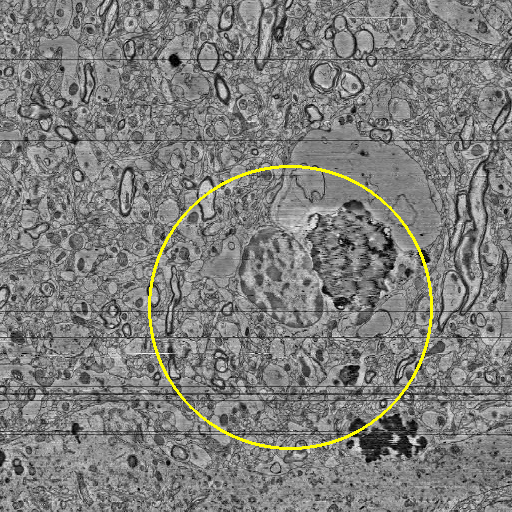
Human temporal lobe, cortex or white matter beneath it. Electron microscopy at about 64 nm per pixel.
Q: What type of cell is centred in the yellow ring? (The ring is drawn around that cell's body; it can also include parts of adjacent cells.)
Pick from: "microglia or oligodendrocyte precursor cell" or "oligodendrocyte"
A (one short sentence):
The yellow ring is centred on a microglial cell or oligodendrocyte precursor cell.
